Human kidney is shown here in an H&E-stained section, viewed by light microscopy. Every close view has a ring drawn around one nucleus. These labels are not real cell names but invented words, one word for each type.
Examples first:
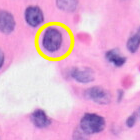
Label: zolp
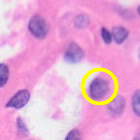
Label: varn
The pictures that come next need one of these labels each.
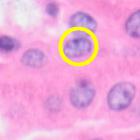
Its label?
zolp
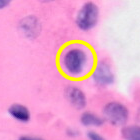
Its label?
varn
